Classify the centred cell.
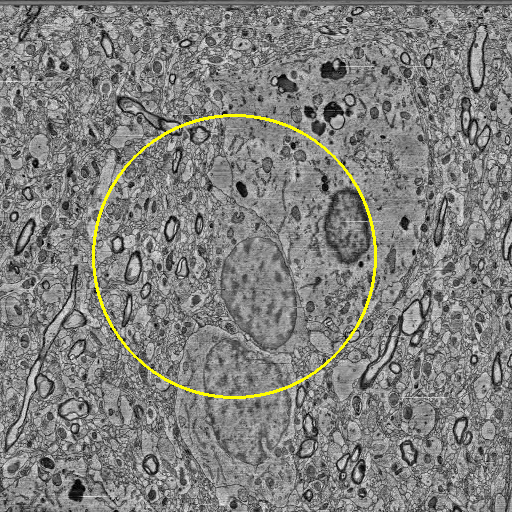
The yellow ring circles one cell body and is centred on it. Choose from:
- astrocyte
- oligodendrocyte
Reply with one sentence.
The ring is centred on an oligodendrocyte.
